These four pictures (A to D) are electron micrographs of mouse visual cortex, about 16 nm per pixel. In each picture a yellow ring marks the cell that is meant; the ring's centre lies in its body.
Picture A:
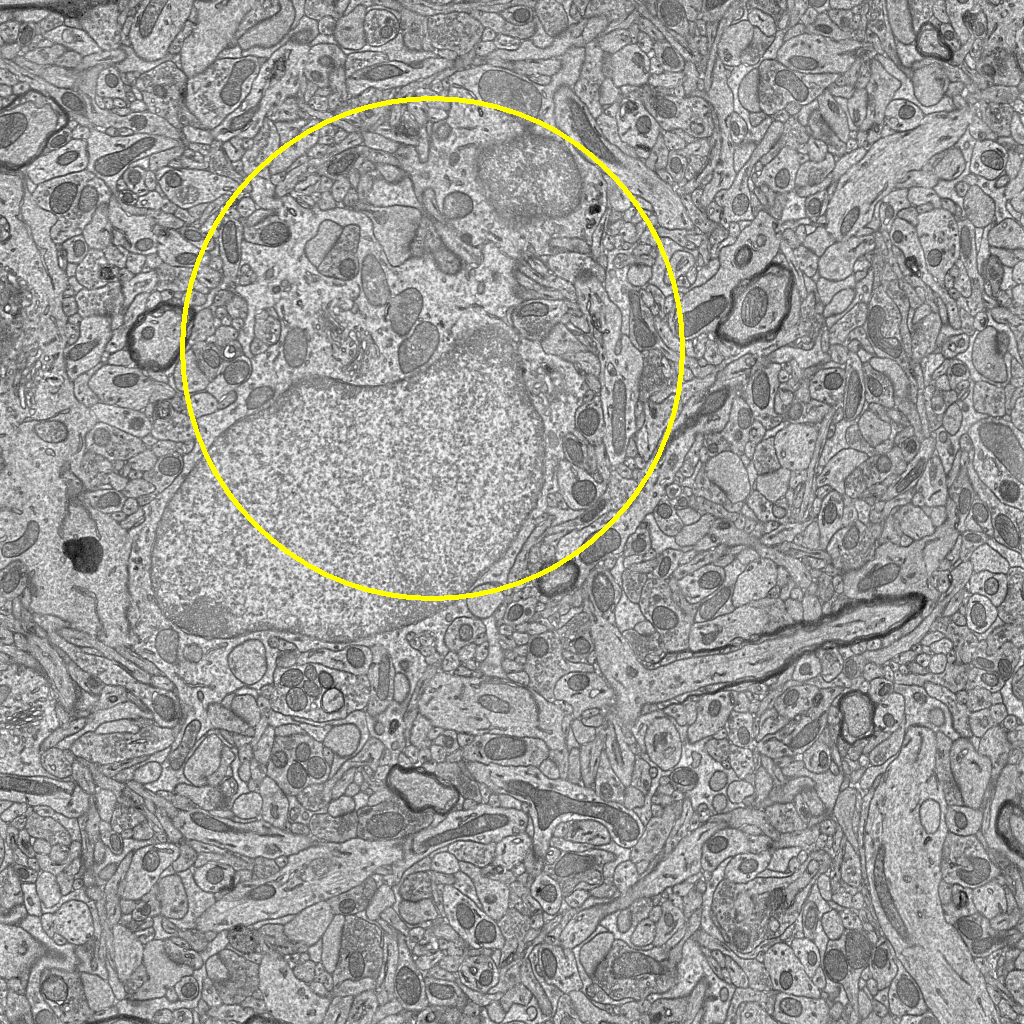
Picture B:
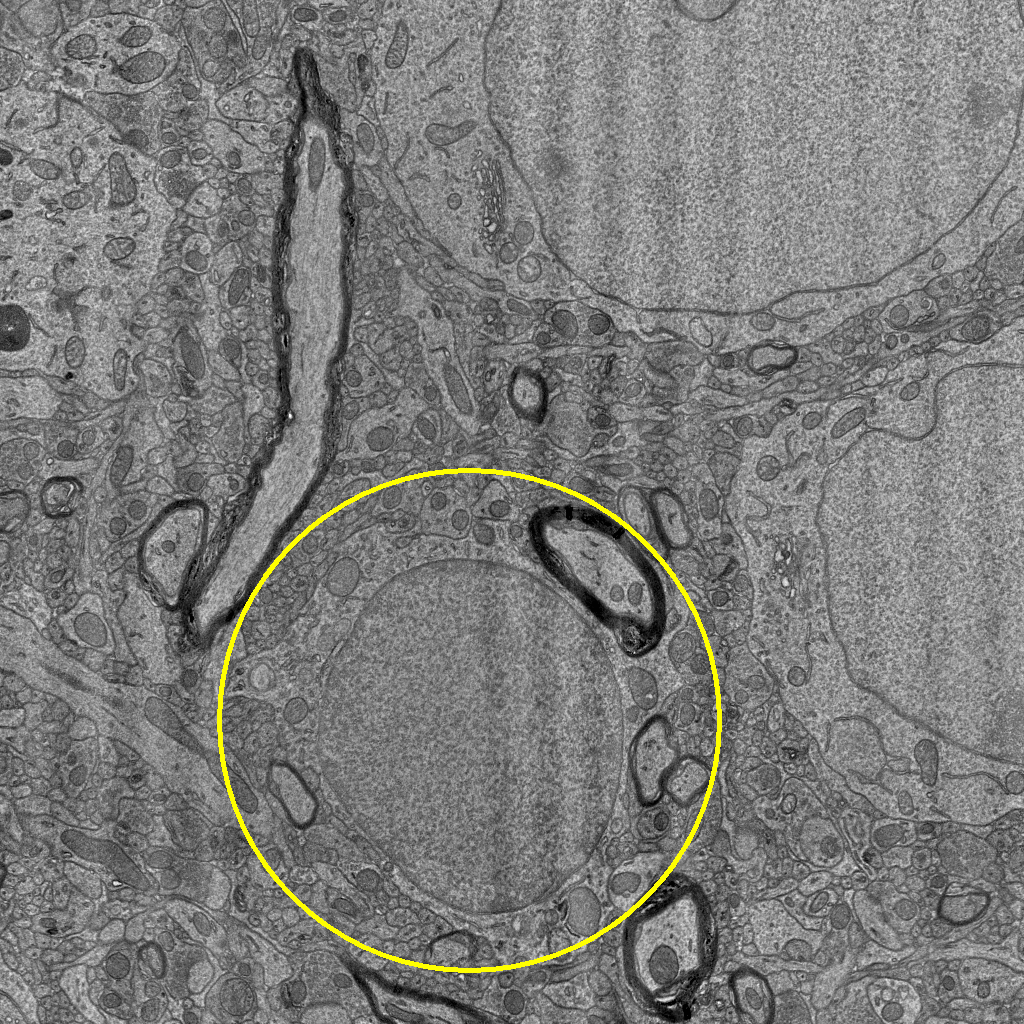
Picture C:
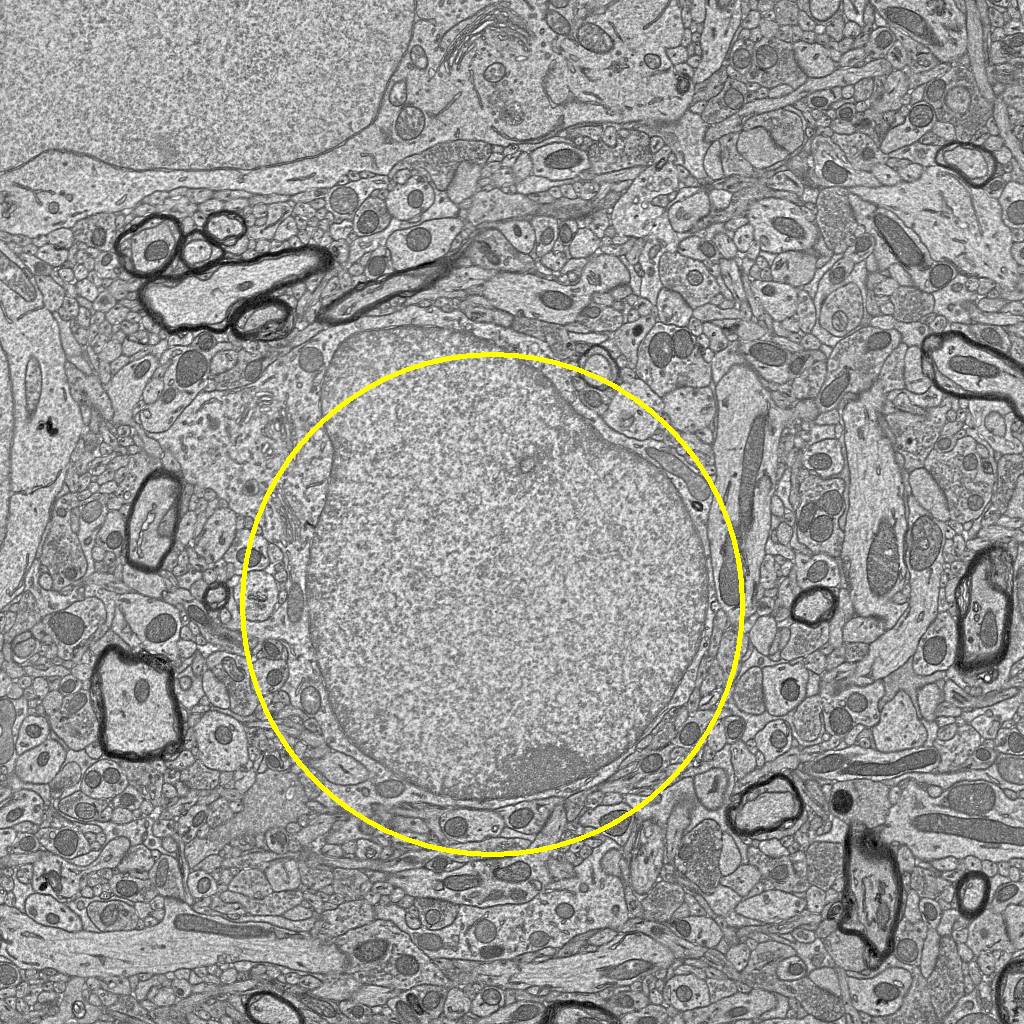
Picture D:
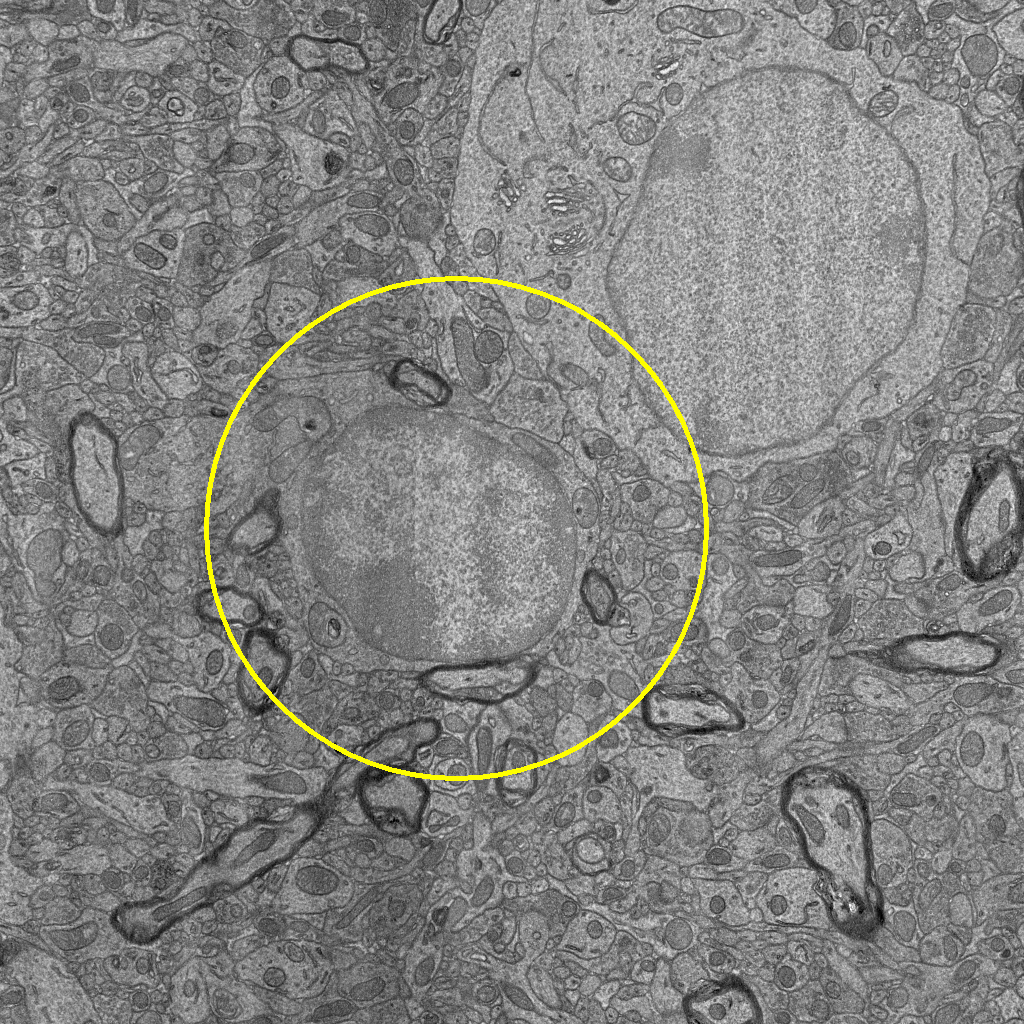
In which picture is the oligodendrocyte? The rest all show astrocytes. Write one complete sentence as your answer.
The cell in picture D is the oligodendrocyte.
